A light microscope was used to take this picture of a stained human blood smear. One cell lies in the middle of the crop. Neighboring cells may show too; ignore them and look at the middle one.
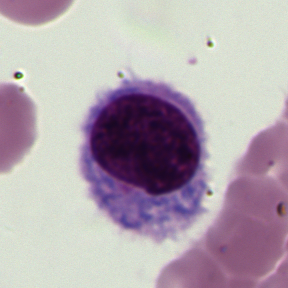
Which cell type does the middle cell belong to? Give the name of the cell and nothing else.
hairy cell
